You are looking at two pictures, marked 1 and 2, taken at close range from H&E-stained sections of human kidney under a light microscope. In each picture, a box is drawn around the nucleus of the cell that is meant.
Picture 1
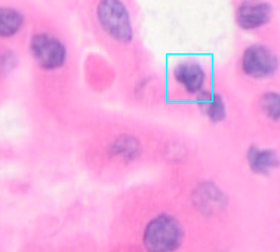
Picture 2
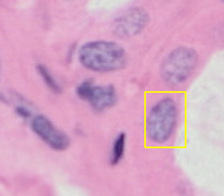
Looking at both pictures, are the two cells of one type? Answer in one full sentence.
Yes, the two pictures both show “loop of Henle or distal tubule cells”.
